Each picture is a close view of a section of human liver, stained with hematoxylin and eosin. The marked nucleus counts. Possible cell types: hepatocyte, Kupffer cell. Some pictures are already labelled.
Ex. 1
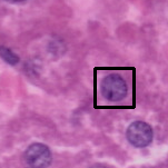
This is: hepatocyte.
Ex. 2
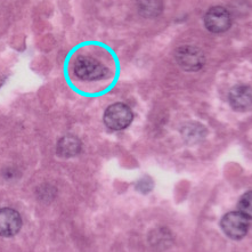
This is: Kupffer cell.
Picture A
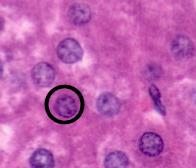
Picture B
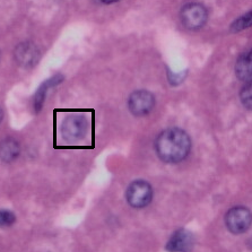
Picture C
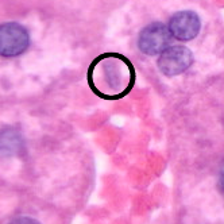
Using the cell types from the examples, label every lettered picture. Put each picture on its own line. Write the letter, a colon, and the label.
A: hepatocyte.
B: hepatocyte.
C: Kupffer cell.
